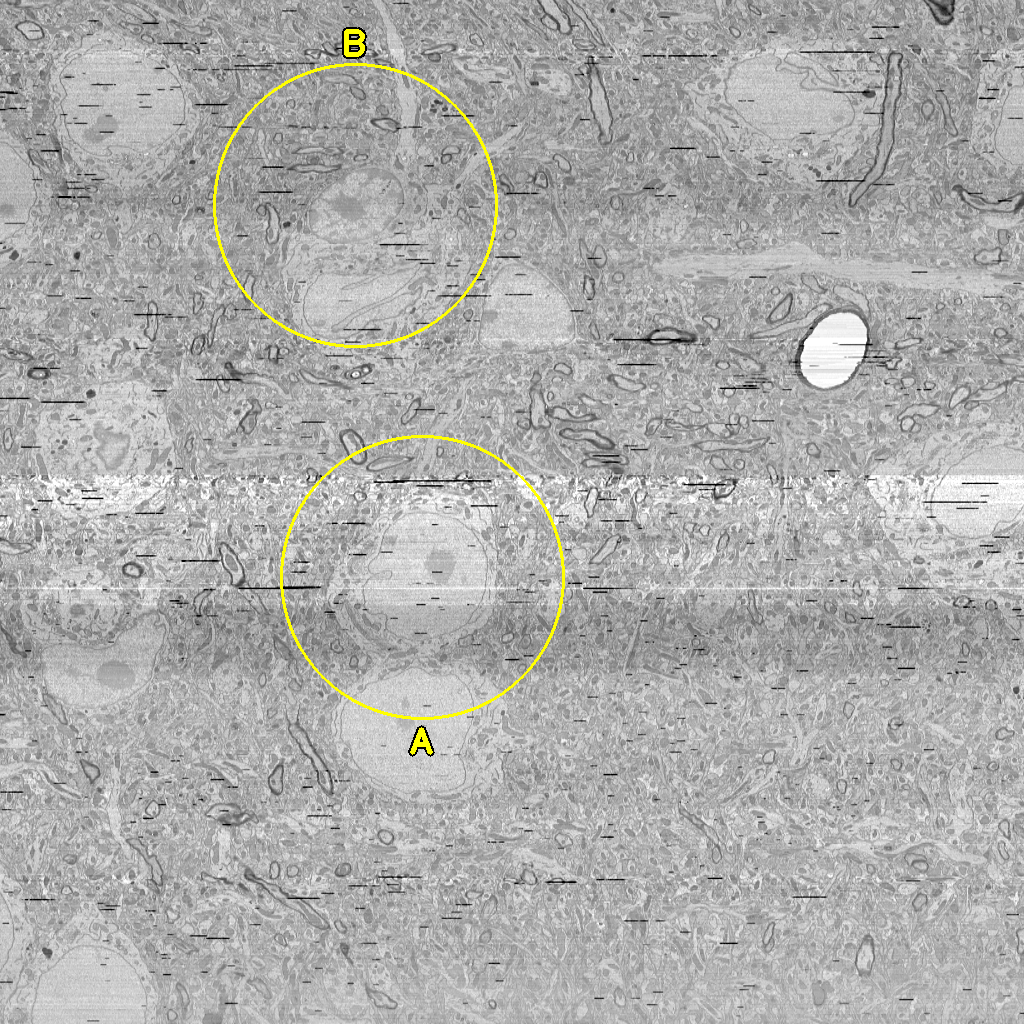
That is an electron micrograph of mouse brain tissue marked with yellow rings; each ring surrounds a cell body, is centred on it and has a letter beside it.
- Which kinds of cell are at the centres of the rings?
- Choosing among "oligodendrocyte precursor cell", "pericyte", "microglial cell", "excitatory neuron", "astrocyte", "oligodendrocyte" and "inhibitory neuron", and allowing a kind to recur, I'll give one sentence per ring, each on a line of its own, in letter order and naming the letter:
Ring A sits around an excitatory neuron.
Ring B sits around an oligodendrocyte.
